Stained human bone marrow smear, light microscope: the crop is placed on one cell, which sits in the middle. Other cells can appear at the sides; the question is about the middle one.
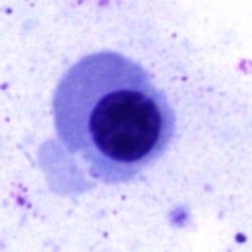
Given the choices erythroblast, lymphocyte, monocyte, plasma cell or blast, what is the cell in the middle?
erythroblast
